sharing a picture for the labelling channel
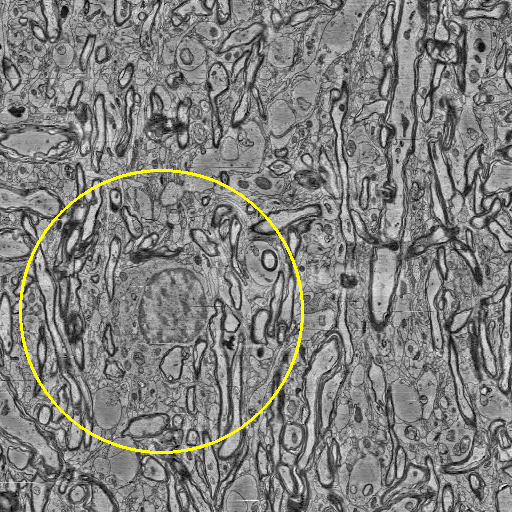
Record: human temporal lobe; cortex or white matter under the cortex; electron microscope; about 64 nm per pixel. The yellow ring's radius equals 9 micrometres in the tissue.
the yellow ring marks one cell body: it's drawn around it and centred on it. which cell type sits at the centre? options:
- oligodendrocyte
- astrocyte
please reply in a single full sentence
In the picture, the cell at the ring's centre is an oligodendrocyte, going by the list.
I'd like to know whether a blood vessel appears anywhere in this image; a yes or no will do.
No, a blood vessel is absent from this picture.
